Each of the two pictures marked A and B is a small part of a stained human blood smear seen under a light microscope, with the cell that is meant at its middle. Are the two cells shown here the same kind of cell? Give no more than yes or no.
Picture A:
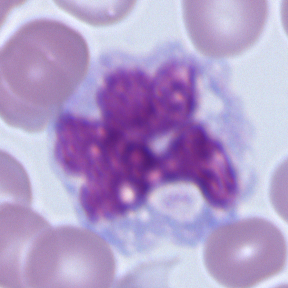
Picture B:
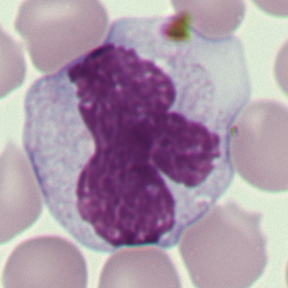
yes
